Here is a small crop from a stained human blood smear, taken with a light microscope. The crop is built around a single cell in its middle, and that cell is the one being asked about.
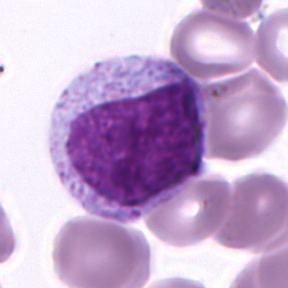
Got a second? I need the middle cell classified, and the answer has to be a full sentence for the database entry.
Answering briefly, the cell in the middle is a myelocyte.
